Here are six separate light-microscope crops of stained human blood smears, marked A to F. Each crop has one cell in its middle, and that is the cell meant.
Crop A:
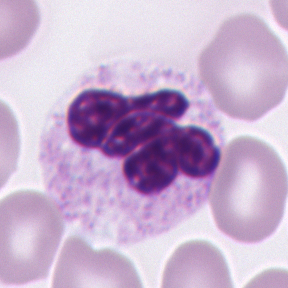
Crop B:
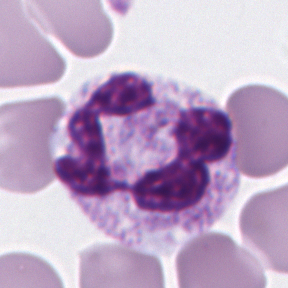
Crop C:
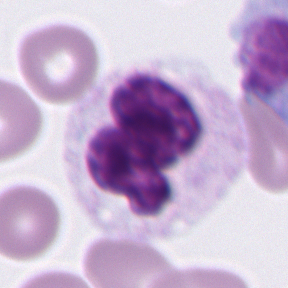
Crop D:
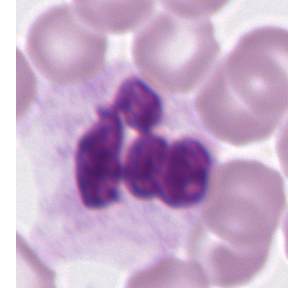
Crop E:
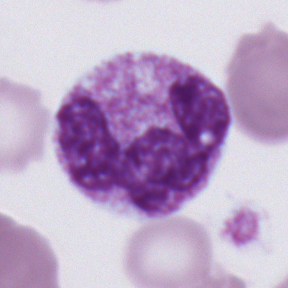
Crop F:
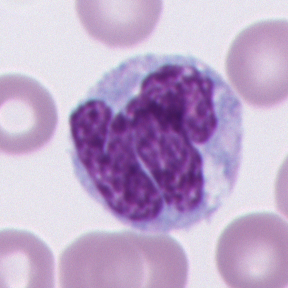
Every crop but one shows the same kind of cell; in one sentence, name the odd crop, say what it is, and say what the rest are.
The single exception among the crops is crop F, which is a monocyte; the rest show segmented neutrophils.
